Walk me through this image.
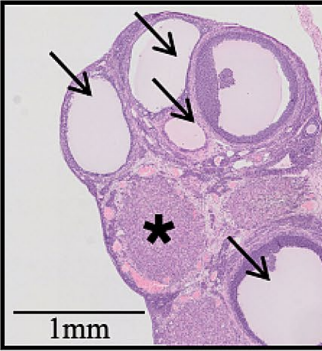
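This ovary section is dominated by cystic follicles: several large, round, fluid-filled cavities that appear pale and nearly empty. One cavity holds a small dense cluster at its wall. Between the cysts, a solid rounded body of densely packed, darker-staining cells forms a corpus luteum. Loose pink stroma with small vessels fills the remaining spaces, and connective tissue extends at one side.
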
